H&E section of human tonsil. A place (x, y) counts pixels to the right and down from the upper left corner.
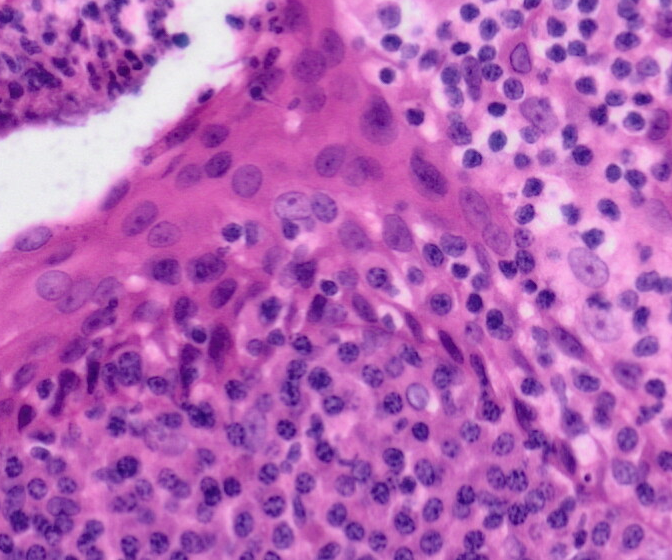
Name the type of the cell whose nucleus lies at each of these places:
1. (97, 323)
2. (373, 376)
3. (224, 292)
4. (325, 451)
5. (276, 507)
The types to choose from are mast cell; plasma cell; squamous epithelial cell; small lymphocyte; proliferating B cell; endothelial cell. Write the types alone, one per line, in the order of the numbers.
squamous epithelial cell
plasma cell
squamous epithelial cell
plasma cell
plasma cell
